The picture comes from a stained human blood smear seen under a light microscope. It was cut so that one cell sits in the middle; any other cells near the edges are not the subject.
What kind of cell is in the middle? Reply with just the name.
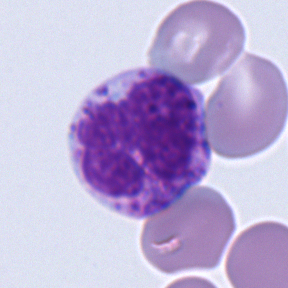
basophil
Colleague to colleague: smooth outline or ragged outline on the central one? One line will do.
You can see a smooth boundary, with no projections sticking out.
